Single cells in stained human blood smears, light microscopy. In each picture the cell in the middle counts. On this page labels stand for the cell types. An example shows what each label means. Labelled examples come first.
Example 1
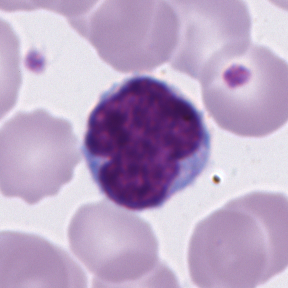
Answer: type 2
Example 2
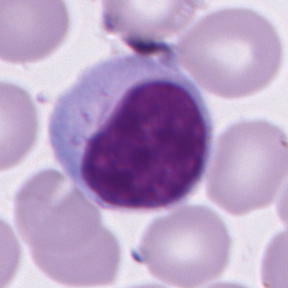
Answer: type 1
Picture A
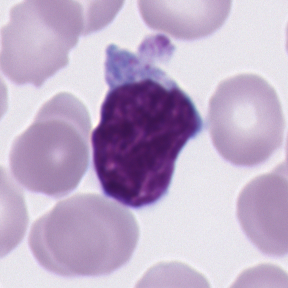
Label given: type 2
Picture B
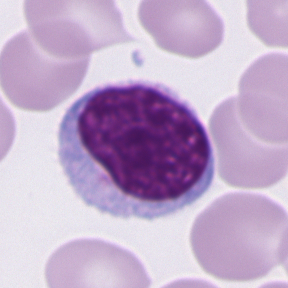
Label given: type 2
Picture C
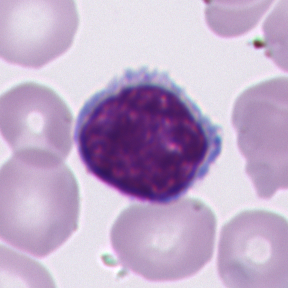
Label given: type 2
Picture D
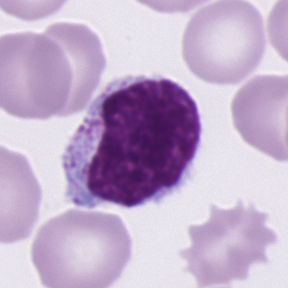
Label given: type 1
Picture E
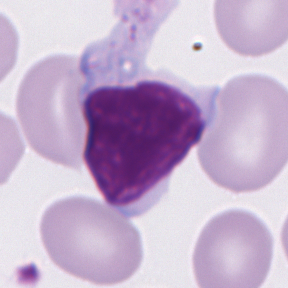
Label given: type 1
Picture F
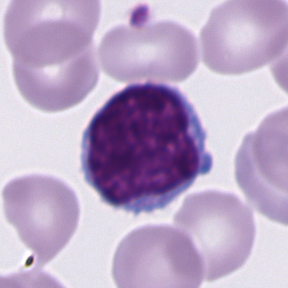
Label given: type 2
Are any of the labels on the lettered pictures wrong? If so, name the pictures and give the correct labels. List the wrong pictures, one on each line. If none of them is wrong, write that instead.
All labels are correct.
